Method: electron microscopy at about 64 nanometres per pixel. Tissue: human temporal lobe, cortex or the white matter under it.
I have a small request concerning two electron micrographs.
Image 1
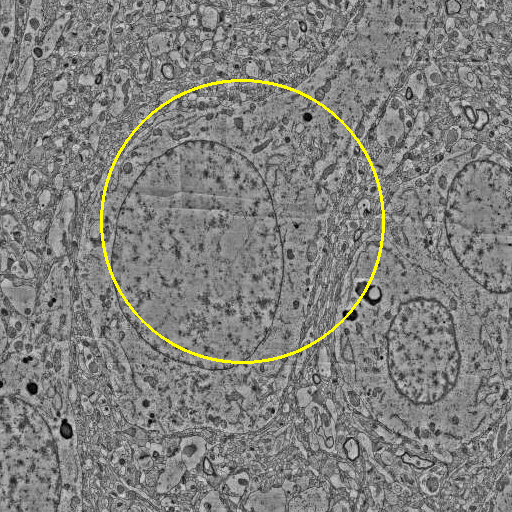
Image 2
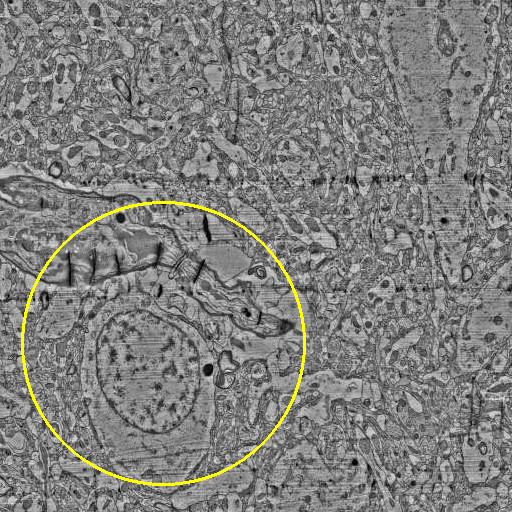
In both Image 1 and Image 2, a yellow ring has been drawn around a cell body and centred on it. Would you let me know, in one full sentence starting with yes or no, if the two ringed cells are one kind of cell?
Yes, the cells ringed in Image 1 and Image 2 are one kind of cell.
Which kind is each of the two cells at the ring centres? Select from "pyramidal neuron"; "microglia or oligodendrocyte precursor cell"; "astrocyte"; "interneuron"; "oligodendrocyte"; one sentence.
Each cell at the centre of a ring is a pyramidal neuron.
